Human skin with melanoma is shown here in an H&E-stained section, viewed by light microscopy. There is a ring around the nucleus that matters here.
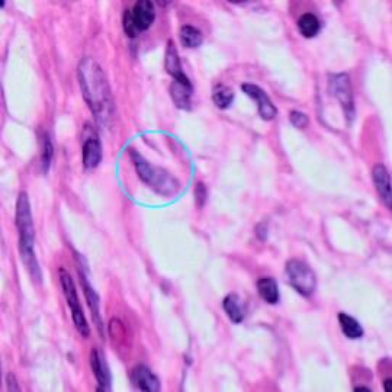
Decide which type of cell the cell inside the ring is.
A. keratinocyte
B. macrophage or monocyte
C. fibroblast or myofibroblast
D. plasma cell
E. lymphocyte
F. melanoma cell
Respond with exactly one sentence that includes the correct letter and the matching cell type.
Option B is correct; the cell inside the ring is a macrophage or monocyte.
